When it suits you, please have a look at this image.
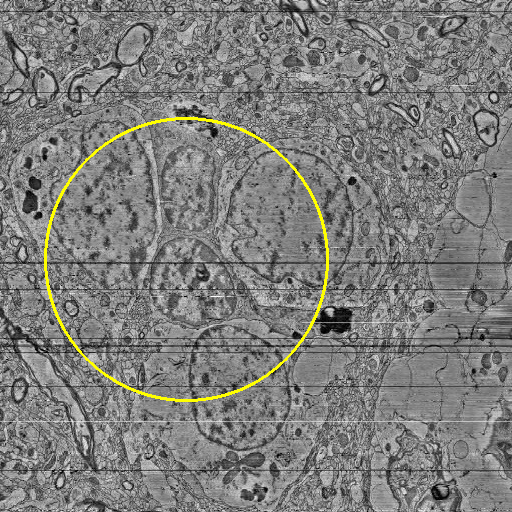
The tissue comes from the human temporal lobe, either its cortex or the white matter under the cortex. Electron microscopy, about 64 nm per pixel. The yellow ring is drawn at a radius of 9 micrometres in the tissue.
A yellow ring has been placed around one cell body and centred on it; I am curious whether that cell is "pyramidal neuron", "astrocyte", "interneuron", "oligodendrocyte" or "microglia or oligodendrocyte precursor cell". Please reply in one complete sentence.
The ringed cell, an oligodendrocyte, has its body at the centre of the yellow ring.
